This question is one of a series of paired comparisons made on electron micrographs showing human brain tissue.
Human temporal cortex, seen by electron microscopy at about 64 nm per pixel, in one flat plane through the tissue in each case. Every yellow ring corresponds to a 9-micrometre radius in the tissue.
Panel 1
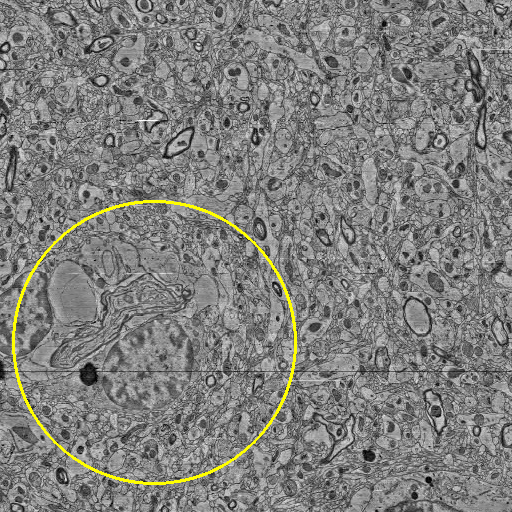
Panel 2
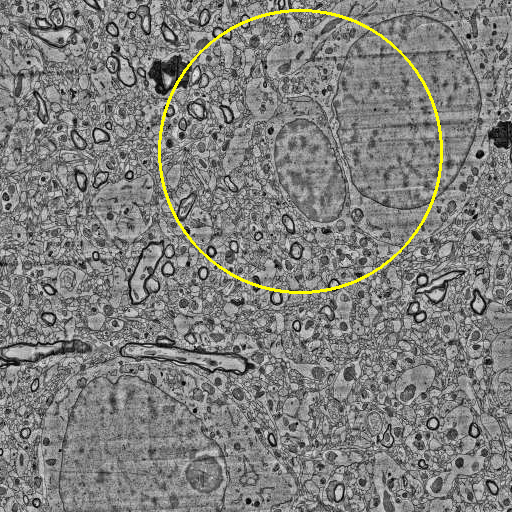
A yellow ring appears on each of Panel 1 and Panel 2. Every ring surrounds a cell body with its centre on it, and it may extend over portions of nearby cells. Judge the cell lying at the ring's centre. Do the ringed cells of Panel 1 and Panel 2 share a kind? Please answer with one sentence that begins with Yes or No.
Yes, the ring-centre cell in Panel 1 and the one in Panel 2 are of one kind.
